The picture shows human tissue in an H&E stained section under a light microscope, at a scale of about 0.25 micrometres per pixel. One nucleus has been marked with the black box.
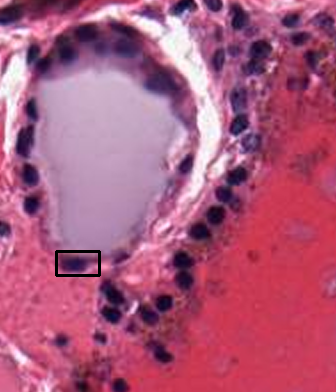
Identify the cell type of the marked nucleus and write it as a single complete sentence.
The marked nucleus is part of a thyroid follicular cell.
